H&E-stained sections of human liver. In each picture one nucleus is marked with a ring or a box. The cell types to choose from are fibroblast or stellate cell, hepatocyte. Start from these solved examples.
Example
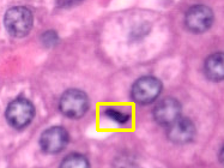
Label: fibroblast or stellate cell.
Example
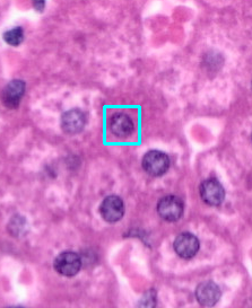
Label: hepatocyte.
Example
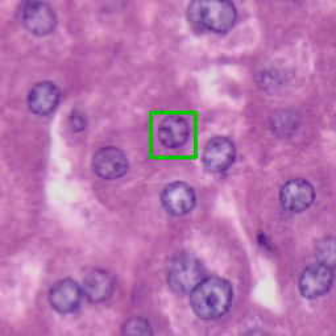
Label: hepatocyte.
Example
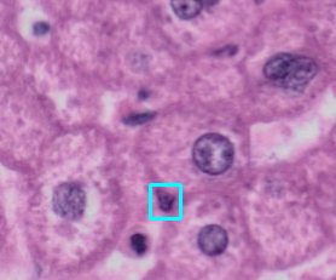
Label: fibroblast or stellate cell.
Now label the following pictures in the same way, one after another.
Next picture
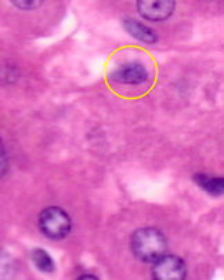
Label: fibroblast or stellate cell.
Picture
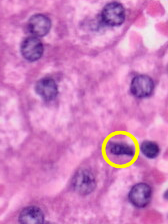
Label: fibroblast or stellate cell.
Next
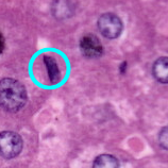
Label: fibroblast or stellate cell.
